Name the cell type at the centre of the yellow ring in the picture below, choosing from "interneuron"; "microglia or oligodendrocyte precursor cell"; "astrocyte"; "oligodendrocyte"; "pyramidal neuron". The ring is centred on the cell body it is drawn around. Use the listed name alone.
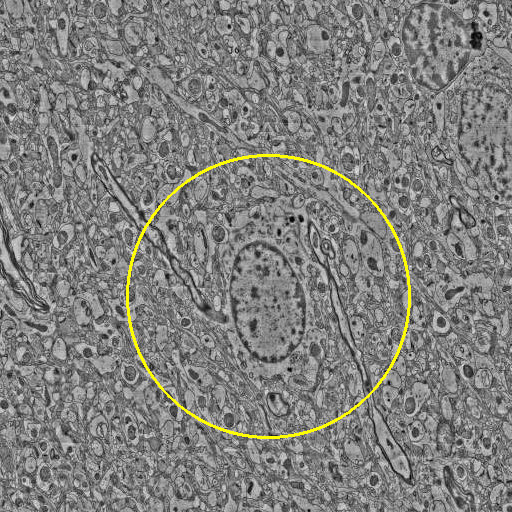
astrocyte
